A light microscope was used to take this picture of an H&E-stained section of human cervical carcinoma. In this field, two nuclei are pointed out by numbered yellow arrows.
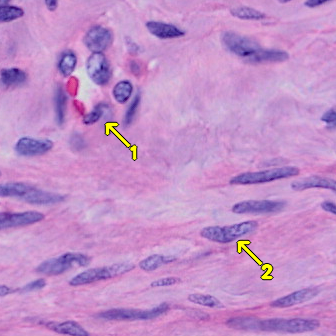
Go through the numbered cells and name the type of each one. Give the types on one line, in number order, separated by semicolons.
endothelial cell; smooth muscle cell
